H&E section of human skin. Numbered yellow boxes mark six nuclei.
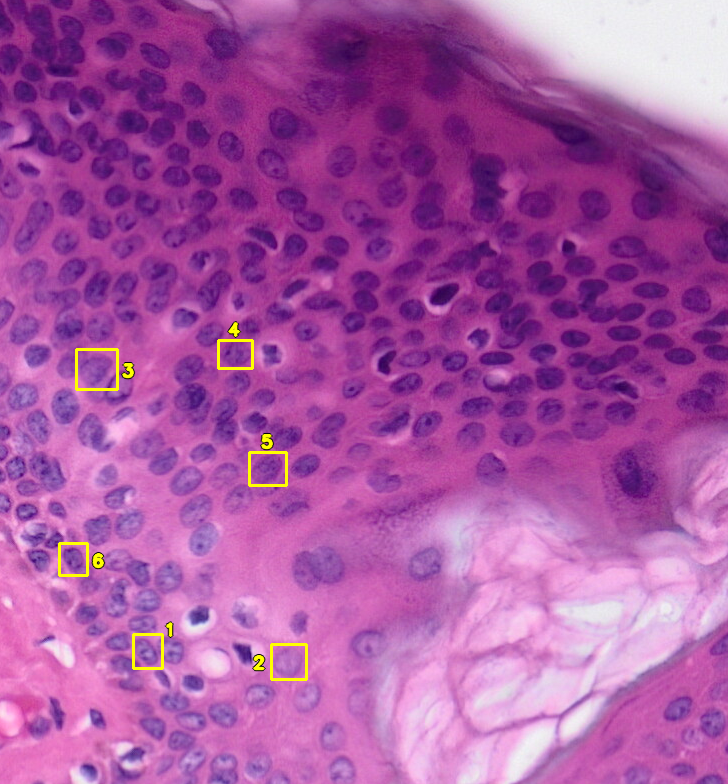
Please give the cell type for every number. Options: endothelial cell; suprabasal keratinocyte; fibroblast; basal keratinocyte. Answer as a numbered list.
1. basal keratinocyte
2. suprabasal keratinocyte
3. suprabasal keratinocyte
4. suprabasal keratinocyte
5. suprabasal keratinocyte
6. basal keratinocyte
